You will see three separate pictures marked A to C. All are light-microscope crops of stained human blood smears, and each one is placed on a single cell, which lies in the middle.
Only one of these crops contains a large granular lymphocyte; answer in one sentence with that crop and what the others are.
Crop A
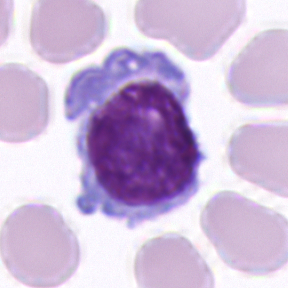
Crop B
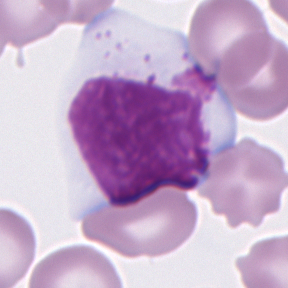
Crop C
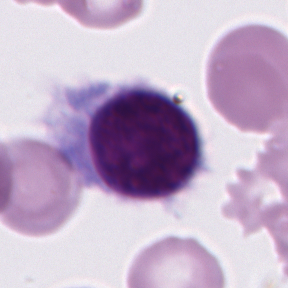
The middle cell of crop B is a large granular lymphocyte, while crop A is a plasma cell and crop C is a hairy cell.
